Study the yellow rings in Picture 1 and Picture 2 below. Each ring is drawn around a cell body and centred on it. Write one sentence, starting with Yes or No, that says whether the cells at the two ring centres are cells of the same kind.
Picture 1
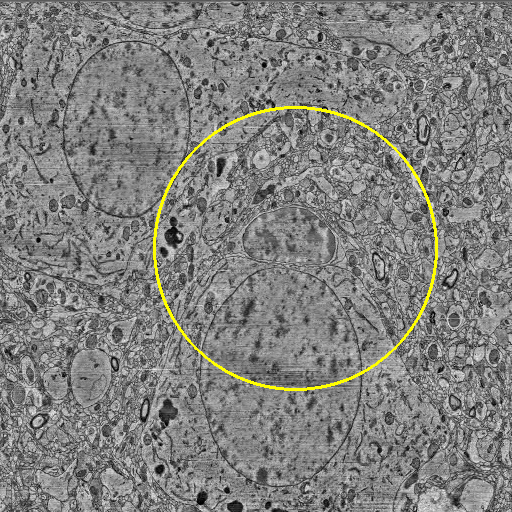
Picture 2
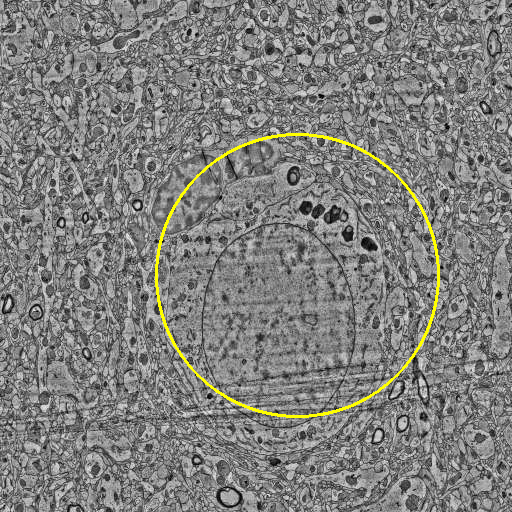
No, the cells at the ring centres are of two kinds.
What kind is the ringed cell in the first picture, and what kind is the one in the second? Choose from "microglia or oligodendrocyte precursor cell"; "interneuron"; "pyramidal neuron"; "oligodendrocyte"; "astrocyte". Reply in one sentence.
The first cell is a microglial cell or oligodendrocyte precursor cell; the second is a pyramidal neuron.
